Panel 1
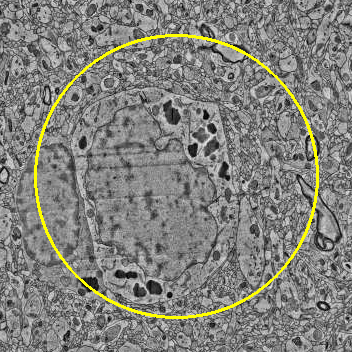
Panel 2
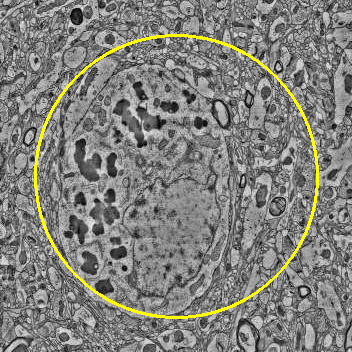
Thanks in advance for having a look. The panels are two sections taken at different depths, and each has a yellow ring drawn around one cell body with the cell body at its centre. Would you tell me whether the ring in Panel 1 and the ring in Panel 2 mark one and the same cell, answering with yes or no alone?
no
